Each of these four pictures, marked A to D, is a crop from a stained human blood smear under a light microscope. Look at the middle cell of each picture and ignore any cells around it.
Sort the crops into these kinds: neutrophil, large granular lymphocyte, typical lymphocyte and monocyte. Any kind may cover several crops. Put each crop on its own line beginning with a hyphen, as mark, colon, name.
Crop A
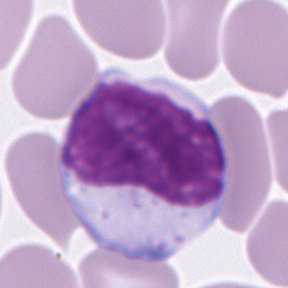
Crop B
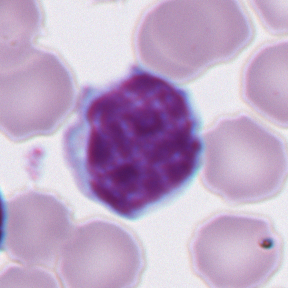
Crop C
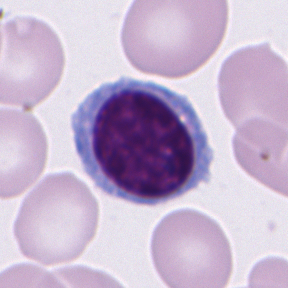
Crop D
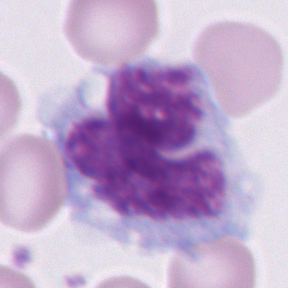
- A: large granular lymphocyte
- B: typical lymphocyte
- C: typical lymphocyte
- D: monocyte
